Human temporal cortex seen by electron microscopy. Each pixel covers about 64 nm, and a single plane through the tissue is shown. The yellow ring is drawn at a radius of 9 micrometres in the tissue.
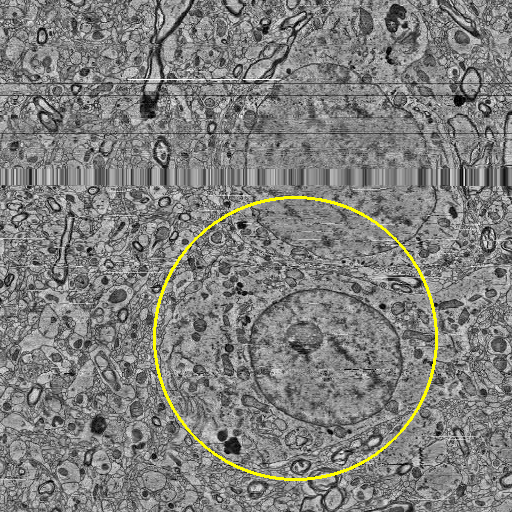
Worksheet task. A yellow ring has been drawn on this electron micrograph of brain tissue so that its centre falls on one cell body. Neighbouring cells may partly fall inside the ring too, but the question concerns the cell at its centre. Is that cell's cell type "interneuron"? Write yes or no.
yes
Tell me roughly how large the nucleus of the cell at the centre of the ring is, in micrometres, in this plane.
About 9 micrometers across, in this plane.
